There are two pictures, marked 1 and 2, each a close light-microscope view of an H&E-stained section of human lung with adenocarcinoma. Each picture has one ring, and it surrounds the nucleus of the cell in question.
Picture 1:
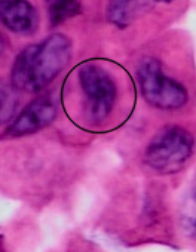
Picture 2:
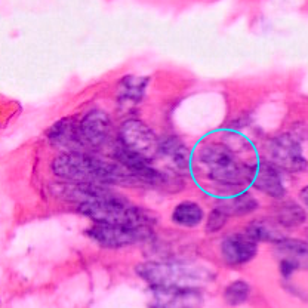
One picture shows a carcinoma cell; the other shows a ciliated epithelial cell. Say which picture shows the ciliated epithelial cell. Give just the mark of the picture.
2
